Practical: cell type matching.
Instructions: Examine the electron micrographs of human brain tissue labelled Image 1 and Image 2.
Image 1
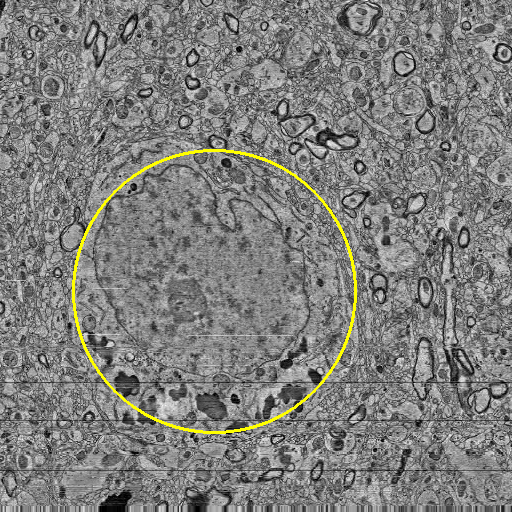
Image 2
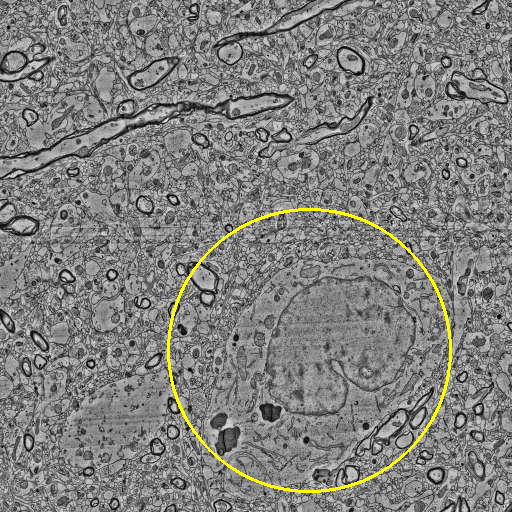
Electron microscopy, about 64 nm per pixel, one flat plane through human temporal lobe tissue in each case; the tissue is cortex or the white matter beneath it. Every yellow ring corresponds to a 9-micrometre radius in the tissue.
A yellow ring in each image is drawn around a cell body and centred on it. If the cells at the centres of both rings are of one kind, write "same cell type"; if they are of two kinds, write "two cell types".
same cell type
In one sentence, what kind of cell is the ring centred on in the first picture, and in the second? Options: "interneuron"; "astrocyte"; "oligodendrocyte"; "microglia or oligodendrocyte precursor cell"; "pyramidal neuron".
The cell at the ring centre is an interneuron in both pictures.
